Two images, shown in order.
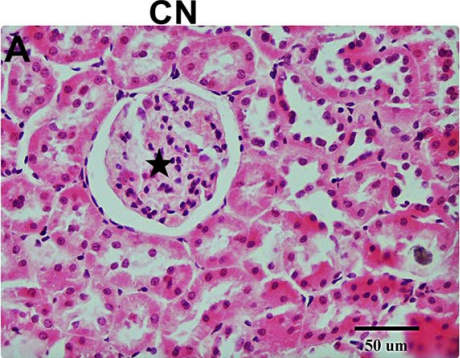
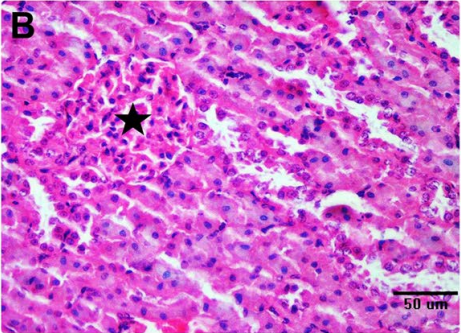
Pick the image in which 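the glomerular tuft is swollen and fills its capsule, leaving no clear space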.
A: The second image.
